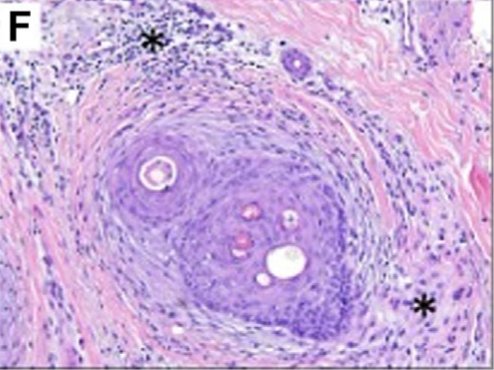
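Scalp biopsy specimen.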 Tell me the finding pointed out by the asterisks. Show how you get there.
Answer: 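Clusters of small dark round nuclei lie in the dermis beside the follicle. That points to this answer: inflammatory infiltrate.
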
